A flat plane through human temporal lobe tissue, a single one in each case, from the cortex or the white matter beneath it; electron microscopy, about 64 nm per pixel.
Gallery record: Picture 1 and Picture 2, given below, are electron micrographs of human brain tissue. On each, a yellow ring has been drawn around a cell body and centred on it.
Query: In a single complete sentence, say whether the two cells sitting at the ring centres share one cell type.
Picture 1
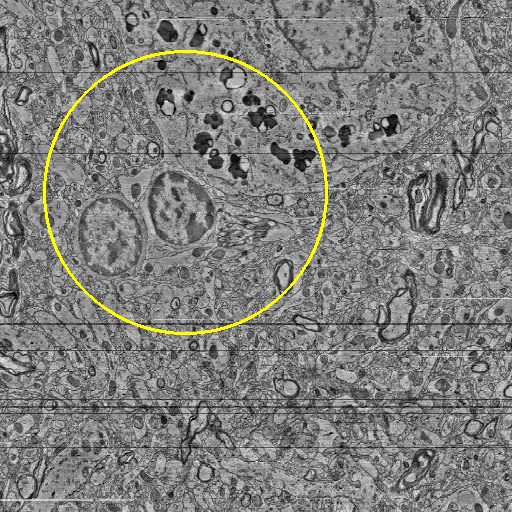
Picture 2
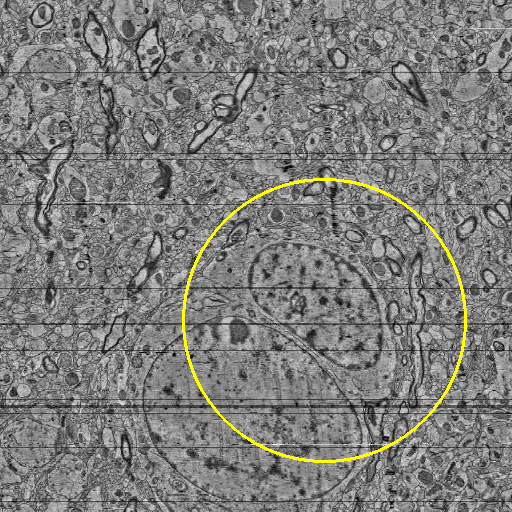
Yes, in both pictures the cell at the ring's centre is of one and the same type.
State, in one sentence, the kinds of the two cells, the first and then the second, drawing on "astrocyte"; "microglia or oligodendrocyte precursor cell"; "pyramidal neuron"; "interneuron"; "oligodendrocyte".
Both rings mark a microglial cell or oligodendrocyte precursor cell, one in each picture.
